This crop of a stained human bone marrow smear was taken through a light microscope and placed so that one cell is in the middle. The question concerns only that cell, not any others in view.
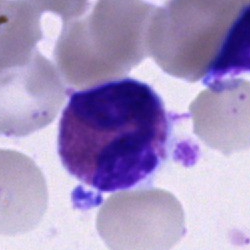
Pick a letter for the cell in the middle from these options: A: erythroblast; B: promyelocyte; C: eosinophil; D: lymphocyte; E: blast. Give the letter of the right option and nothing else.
C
